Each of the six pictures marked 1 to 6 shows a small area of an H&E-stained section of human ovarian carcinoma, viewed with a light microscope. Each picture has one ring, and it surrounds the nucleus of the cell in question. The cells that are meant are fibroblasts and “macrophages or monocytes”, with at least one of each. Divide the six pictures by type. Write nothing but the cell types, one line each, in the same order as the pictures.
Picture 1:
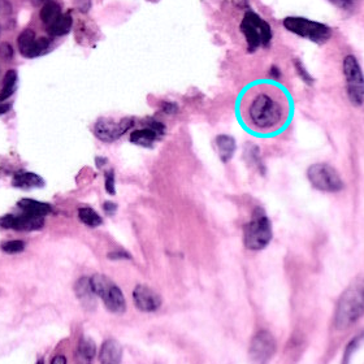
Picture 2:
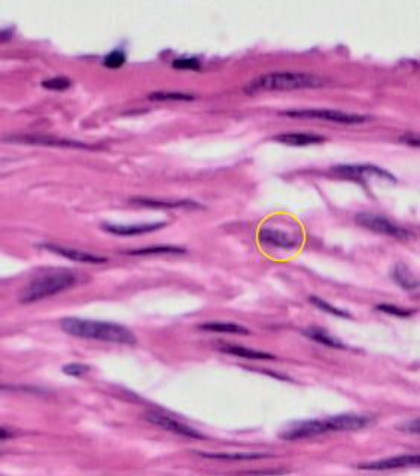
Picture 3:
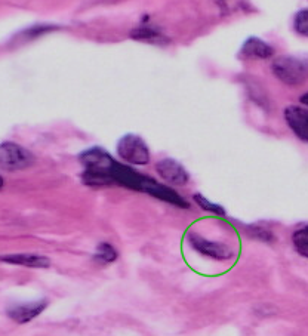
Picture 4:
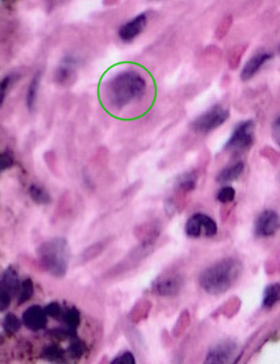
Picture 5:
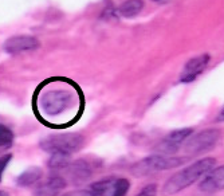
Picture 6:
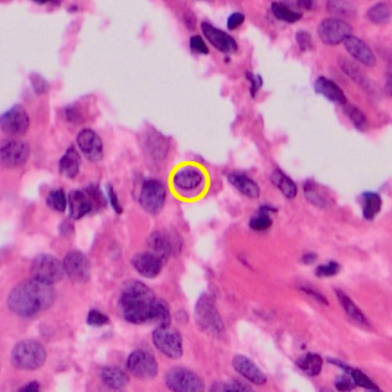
macrophage or monocyte
fibroblast
fibroblast
fibroblast
macrophage or monocyte
macrophage or monocyte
